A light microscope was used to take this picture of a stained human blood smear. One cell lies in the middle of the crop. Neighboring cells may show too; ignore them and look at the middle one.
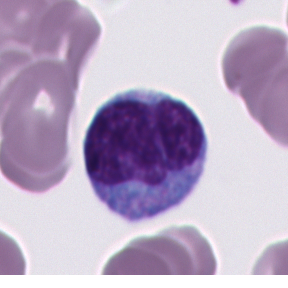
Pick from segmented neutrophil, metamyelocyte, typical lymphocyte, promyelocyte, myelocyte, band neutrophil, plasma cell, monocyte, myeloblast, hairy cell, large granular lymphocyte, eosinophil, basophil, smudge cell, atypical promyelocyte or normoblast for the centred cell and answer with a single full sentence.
The crop's centre is taken up by a monocyte.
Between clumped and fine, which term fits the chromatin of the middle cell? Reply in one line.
You can see that its chromatin is coarsely clumped.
